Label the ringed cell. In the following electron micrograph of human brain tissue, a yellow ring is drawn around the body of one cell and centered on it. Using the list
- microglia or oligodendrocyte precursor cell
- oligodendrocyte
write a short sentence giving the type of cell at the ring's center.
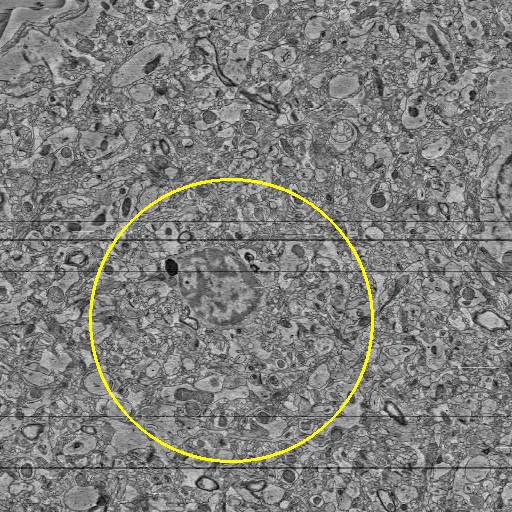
The cell body at the ring's center is that of an oligodendrocyte.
